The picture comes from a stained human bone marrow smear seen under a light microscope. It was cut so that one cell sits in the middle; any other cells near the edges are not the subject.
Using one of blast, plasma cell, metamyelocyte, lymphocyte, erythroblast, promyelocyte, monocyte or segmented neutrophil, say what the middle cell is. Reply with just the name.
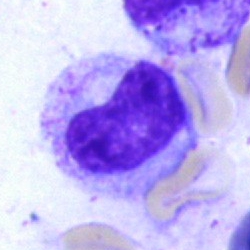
metamyelocyte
